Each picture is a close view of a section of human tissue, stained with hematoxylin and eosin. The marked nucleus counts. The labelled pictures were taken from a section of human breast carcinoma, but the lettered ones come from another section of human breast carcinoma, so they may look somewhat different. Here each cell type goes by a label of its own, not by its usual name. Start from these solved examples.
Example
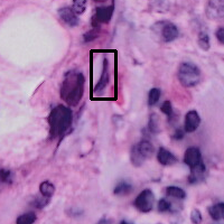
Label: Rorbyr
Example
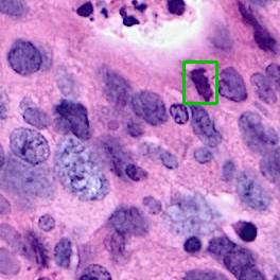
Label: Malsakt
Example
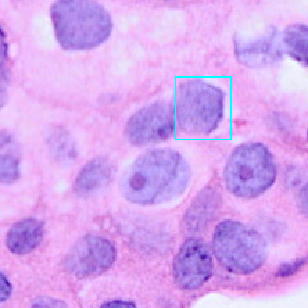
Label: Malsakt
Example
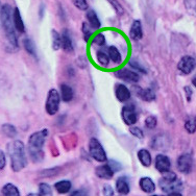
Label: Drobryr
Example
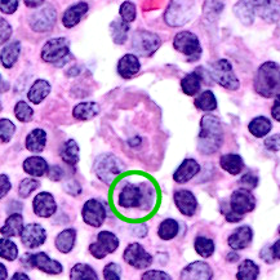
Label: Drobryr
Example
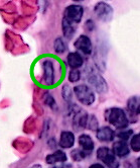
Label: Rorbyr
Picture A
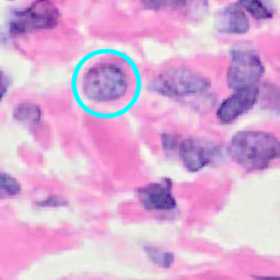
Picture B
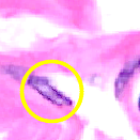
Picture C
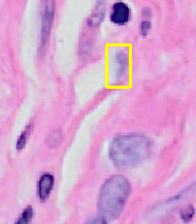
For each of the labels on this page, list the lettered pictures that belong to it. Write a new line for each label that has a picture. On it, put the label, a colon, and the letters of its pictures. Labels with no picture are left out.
Rorbyr: B, C
Malsakt: A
